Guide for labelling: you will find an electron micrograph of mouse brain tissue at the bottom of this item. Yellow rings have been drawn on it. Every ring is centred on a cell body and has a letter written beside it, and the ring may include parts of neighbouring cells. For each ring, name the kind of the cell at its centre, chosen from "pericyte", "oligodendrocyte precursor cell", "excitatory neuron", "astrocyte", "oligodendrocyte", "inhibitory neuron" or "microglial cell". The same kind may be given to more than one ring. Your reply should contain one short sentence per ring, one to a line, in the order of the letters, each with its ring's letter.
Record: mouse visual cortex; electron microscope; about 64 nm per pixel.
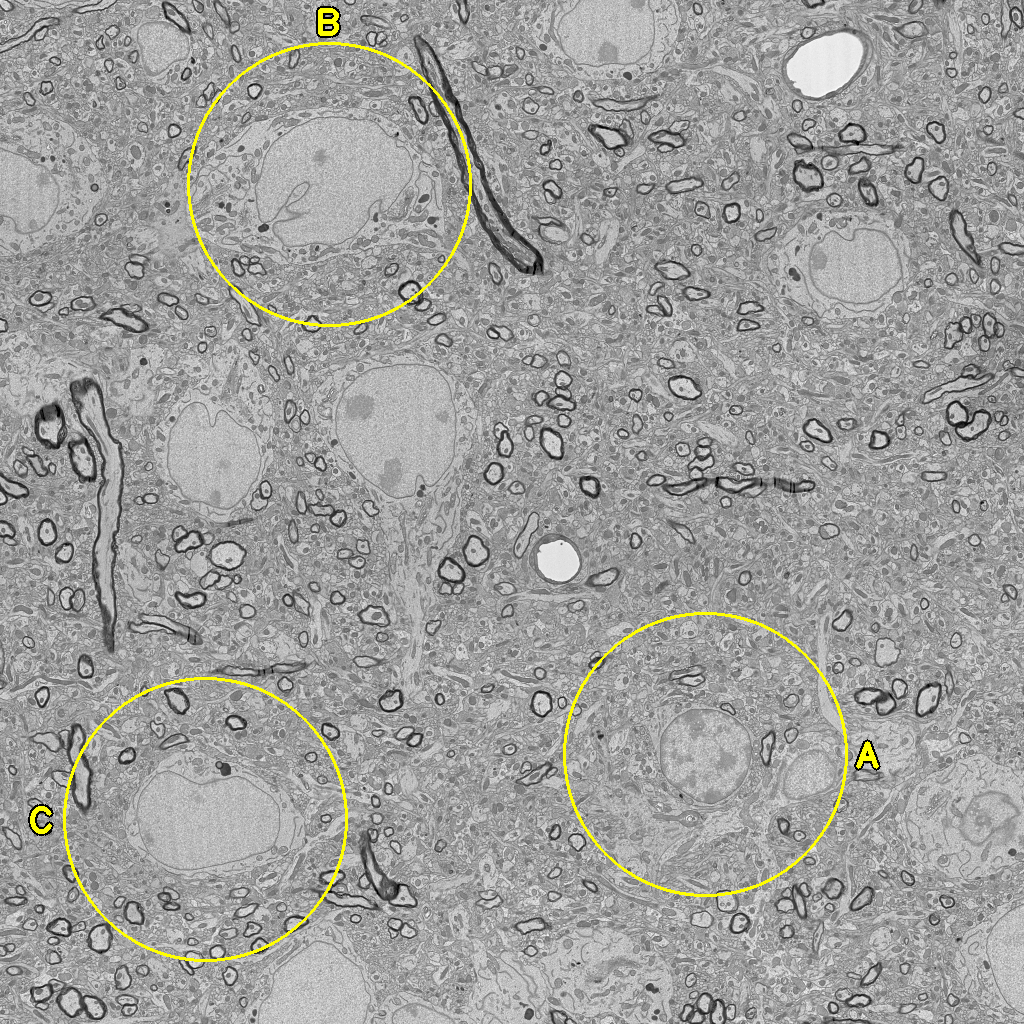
Ring A is centred on the body of an oligodendrocyte.
Ring B is centred on the body of an inhibitory neuron.
Ring C is centred on the body of an excitatory neuron.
